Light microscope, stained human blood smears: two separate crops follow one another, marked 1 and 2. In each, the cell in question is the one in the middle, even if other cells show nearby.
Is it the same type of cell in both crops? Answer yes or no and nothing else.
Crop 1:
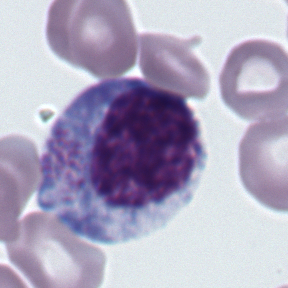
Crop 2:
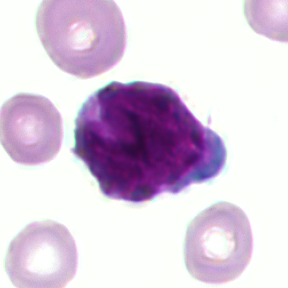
no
